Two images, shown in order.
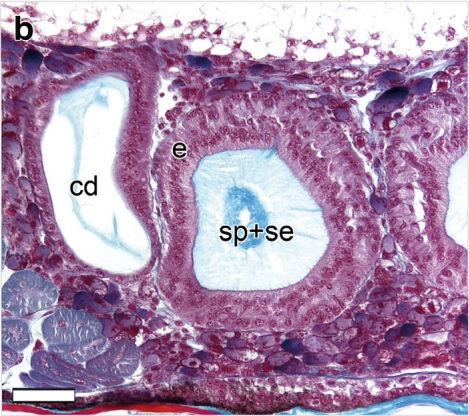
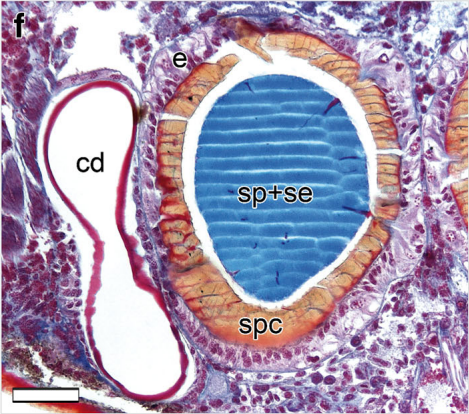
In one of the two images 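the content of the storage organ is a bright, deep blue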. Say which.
the second image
